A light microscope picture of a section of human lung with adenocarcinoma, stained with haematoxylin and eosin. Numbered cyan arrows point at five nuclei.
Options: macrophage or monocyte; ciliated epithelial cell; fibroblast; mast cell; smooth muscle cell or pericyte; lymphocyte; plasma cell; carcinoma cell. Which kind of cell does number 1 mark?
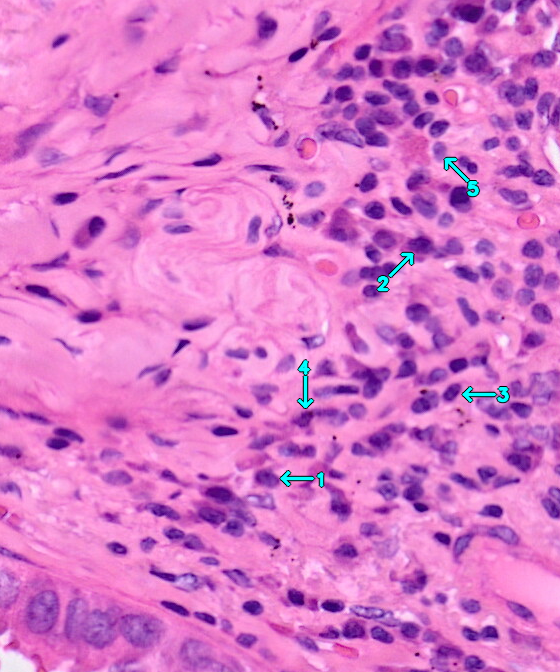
plasma cell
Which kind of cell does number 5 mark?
lymphocyte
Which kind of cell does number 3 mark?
lymphocyte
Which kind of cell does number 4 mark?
plasma cell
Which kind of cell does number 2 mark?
plasma cell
